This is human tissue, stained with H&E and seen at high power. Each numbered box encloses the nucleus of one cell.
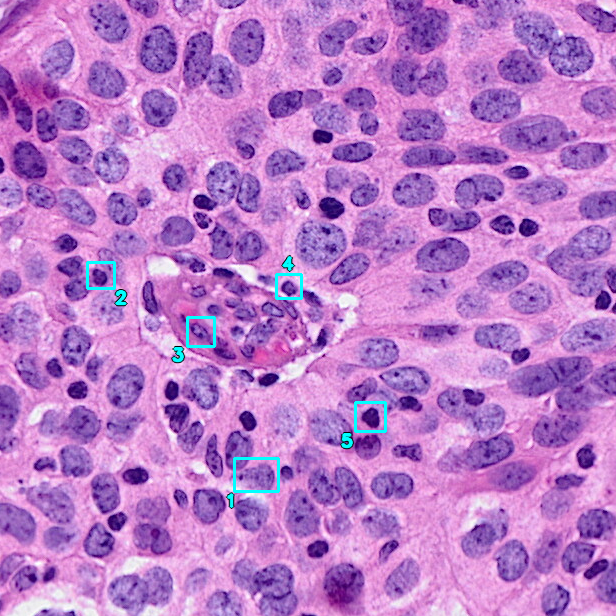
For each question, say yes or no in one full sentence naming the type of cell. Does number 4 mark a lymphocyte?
Yes, to put it simply, cell number 4 is a lymphocyte.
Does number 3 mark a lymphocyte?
No, number 3 does not mark a lymphocyte; it marks an endothelial cell.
